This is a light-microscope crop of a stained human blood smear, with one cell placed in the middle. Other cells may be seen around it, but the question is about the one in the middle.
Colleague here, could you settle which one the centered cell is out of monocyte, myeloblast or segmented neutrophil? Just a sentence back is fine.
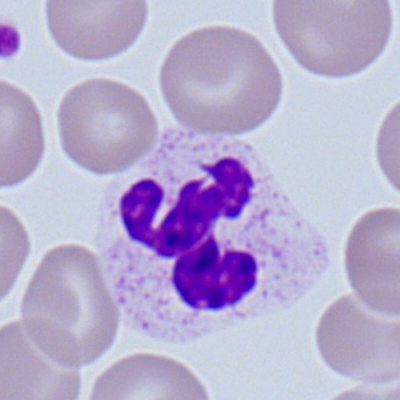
Positioned in the middle of the crop is a segmented neutrophil.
